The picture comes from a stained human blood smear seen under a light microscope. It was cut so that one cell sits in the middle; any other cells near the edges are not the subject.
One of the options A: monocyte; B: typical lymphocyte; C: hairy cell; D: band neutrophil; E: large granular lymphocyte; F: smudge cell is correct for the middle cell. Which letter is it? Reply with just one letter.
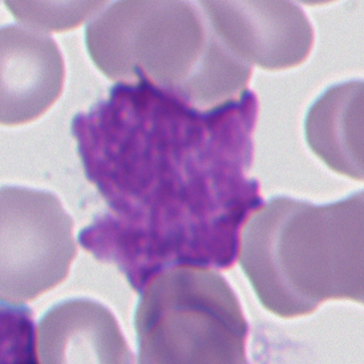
F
